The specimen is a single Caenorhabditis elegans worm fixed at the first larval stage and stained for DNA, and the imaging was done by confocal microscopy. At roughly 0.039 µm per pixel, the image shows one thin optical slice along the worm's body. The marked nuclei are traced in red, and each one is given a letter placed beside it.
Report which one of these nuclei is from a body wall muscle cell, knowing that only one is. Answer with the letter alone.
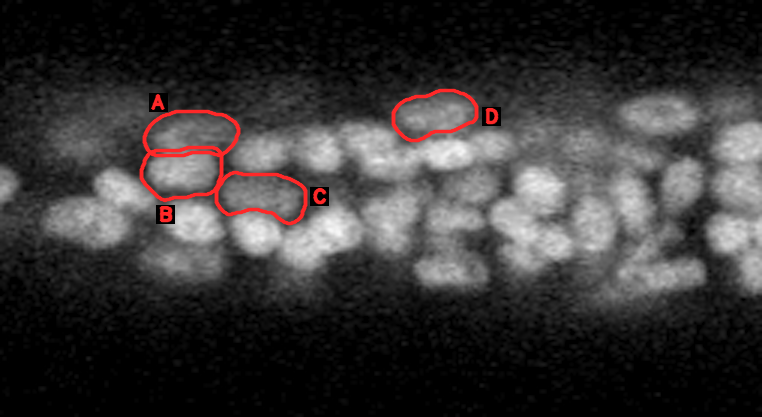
D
